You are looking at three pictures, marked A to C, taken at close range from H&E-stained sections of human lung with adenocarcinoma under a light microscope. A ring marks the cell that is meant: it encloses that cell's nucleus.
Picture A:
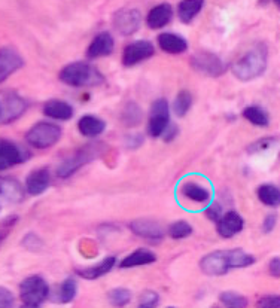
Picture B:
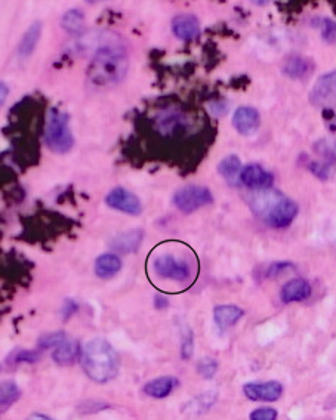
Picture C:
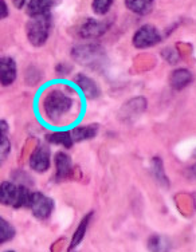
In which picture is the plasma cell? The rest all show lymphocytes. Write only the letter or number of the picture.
B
